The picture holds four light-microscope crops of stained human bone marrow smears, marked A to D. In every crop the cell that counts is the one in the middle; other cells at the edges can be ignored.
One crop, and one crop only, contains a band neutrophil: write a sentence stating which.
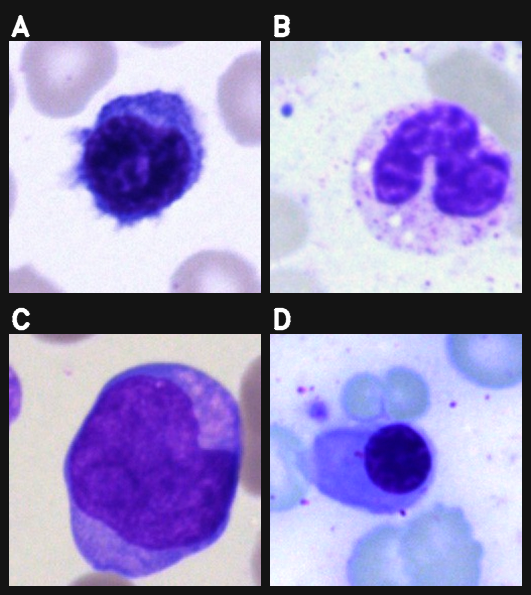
The correct choice is crop B, the one showing a band neutrophil.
